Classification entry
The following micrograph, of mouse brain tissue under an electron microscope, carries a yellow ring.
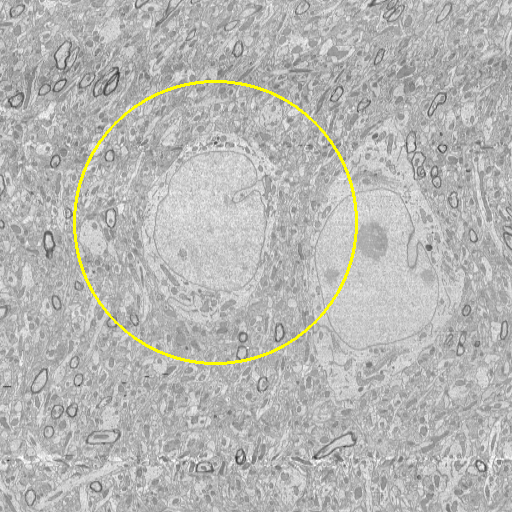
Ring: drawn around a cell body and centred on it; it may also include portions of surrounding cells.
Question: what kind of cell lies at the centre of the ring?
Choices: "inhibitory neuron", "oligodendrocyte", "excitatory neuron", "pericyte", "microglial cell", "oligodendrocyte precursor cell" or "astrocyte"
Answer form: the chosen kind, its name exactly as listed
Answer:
inhibitory neuron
